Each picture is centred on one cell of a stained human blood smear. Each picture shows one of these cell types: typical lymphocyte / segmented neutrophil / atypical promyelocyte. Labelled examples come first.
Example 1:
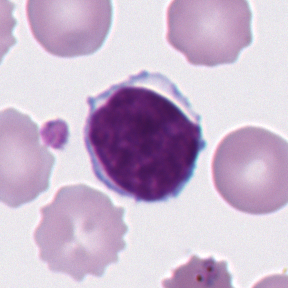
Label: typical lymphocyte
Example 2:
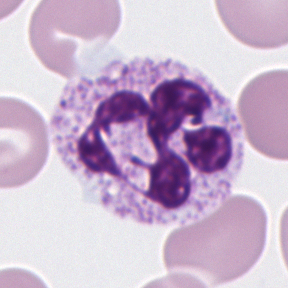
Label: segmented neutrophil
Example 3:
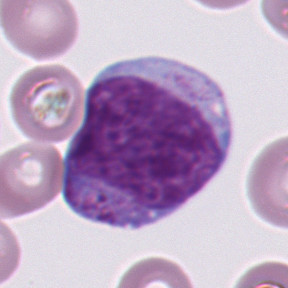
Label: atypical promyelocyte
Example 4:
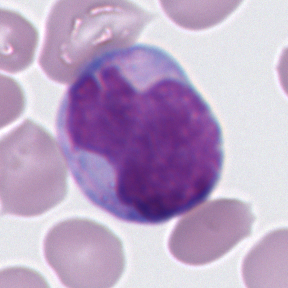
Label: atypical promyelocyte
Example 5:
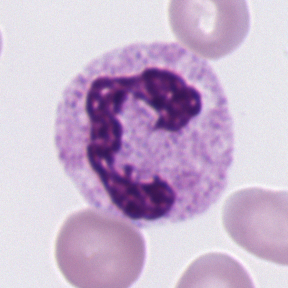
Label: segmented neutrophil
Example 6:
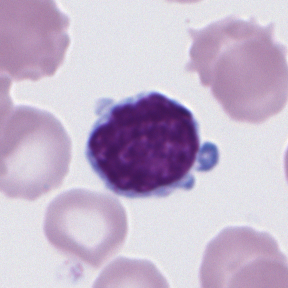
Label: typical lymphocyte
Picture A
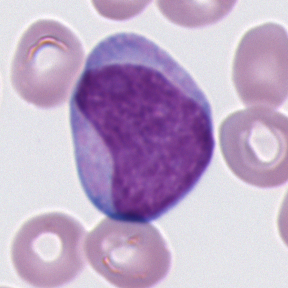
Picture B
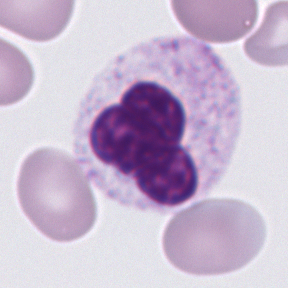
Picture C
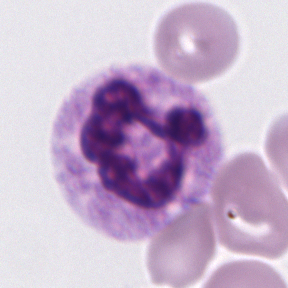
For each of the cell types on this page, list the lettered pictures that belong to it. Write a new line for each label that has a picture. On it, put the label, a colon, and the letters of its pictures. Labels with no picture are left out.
segmented neutrophil: B, C
atypical promyelocyte: A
